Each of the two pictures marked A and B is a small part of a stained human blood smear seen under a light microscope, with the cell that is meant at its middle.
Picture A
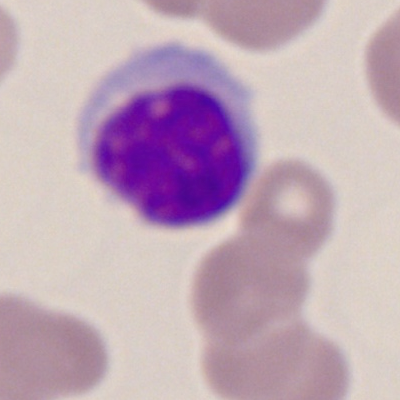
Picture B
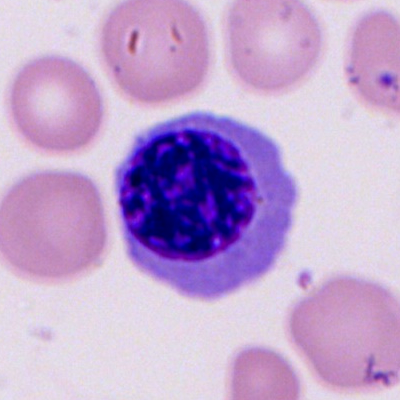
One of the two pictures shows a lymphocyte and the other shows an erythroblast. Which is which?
A: lymphocyte
B: erythroblast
